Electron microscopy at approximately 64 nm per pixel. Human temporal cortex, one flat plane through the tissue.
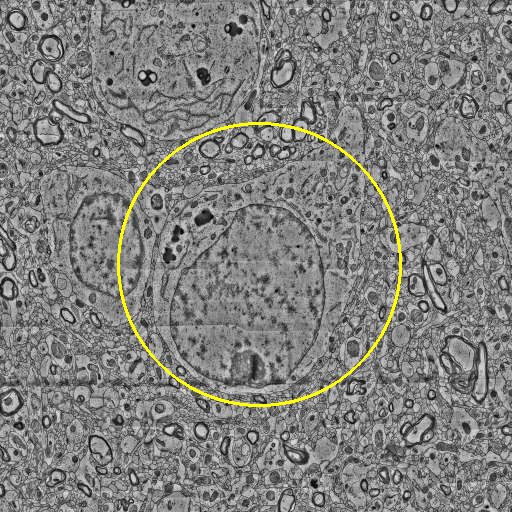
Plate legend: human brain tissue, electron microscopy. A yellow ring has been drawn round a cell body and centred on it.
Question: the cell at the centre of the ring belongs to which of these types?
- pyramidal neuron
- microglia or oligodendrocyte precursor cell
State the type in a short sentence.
The cell in the middle of the ring is a pyramidal neuron.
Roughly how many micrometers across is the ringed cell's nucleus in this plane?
The nucleus is approximately 12 micrometers long by 10 micrometers wide in this plane.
